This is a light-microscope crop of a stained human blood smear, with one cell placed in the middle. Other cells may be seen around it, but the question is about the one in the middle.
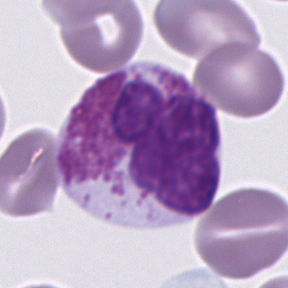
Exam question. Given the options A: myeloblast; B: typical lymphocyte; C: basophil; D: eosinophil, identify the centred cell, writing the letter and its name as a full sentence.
The cell at the centre is an eosinophil, and option D accordingly is correct.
